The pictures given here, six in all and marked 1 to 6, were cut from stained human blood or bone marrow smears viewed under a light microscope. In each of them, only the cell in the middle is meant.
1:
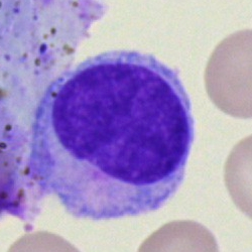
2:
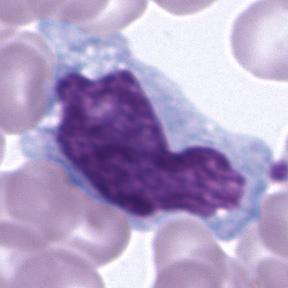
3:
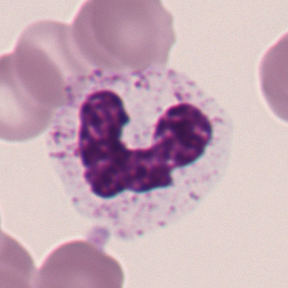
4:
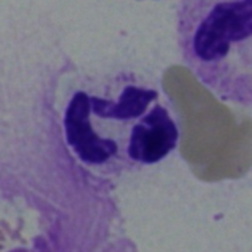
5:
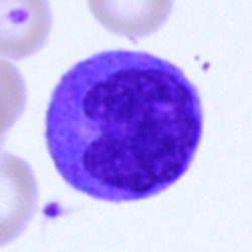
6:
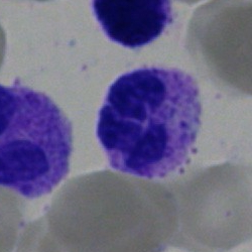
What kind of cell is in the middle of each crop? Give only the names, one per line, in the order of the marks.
hairy cell
monocyte
segmented neutrophil
segmented neutrophil
monocyte
segmented neutrophil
